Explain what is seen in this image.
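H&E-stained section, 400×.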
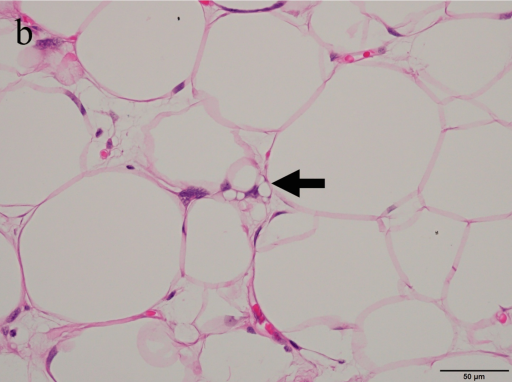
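Adipose tissue made of large, empty-looking fat cells with thin pink membranes and small flattened nuclei pushed to the periphery. Between them a smaller cell contains several clear cytoplasmic vacuoles, the appearance of a lipoblast. Scattered red blood cells lie in the thin septa between the fat cells.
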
